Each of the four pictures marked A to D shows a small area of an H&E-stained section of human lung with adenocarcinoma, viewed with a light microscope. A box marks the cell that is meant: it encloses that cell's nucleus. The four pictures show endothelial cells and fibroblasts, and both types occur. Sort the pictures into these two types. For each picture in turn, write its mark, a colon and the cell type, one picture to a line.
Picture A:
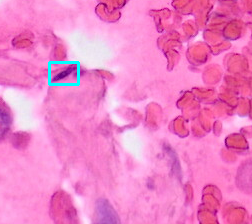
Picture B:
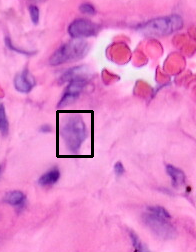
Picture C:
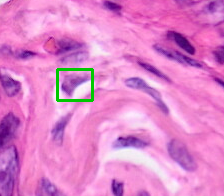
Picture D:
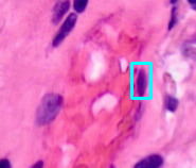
A: endothelial cell
B: fibroblast
C: fibroblast
D: endothelial cell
